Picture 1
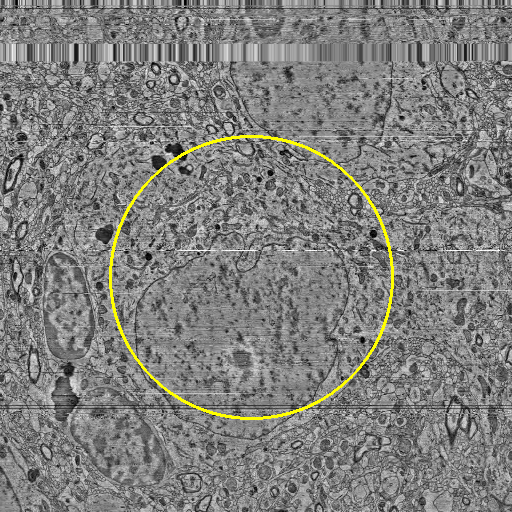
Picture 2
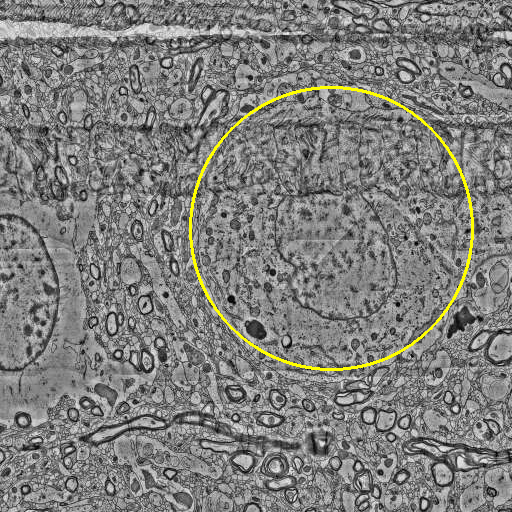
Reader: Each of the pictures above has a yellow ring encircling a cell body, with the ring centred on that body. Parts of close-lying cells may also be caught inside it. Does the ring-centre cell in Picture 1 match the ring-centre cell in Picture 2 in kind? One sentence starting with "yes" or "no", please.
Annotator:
Yes, Picture 1 and Picture 2 show ring-centre cells of a single kind.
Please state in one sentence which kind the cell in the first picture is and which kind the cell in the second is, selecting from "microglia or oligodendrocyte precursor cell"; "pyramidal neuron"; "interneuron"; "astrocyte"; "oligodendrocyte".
The second cell is a pyramidal neuron, just as the first is.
